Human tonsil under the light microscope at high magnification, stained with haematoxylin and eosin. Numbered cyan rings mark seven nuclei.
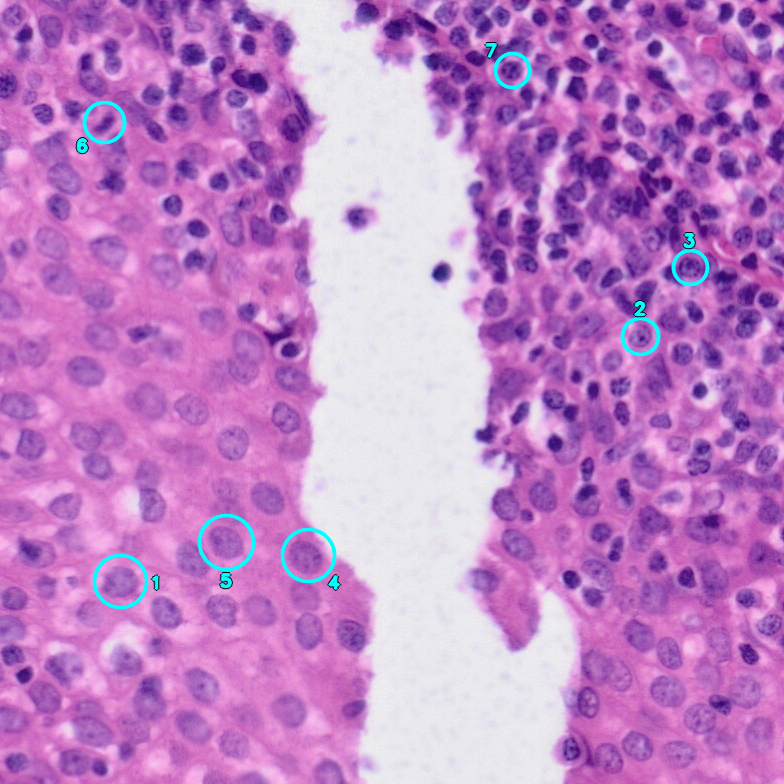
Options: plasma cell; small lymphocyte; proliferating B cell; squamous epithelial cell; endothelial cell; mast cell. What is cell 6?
squamous epithelial cell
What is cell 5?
squamous epithelial cell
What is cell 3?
plasma cell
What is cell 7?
plasma cell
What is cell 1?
squamous epithelial cell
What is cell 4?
squamous epithelial cell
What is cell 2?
plasma cell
